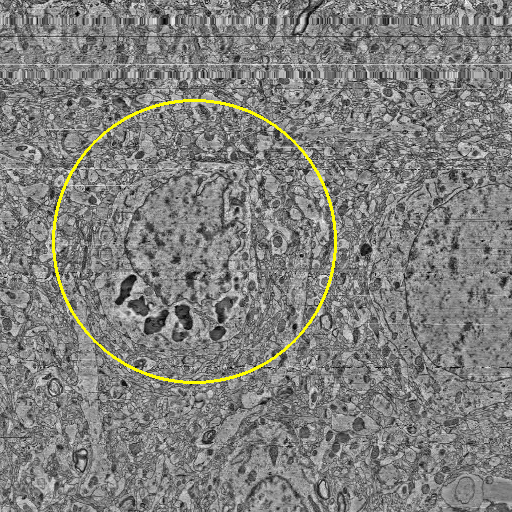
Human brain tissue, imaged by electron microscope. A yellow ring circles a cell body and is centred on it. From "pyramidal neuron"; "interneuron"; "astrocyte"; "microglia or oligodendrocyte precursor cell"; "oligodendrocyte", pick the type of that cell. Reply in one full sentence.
The cell body at the centre of the yellow ring belongs to an interneuron.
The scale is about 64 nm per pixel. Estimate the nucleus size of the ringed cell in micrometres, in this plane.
In this plane, the nucleus of the cell at the centre of the ring measures about 9 by 7 micrometres.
